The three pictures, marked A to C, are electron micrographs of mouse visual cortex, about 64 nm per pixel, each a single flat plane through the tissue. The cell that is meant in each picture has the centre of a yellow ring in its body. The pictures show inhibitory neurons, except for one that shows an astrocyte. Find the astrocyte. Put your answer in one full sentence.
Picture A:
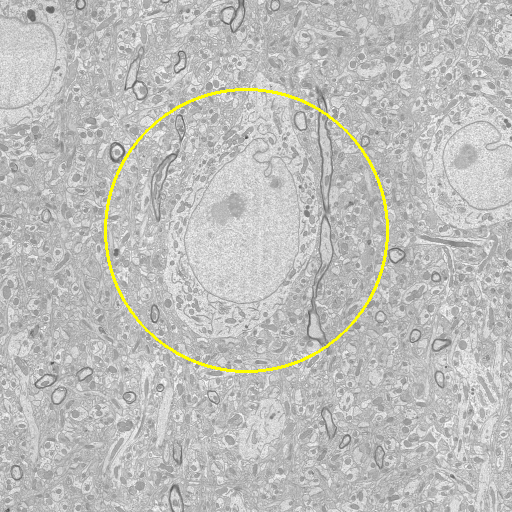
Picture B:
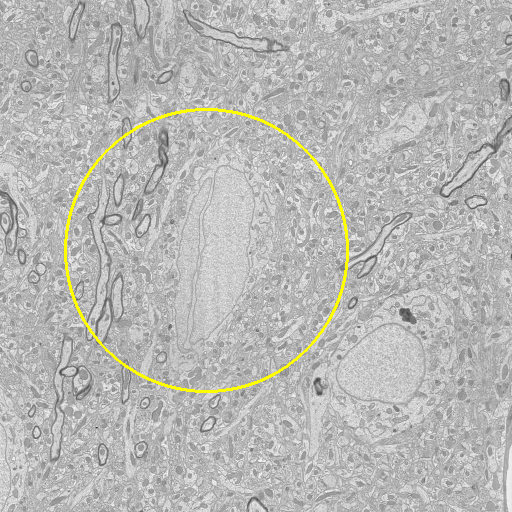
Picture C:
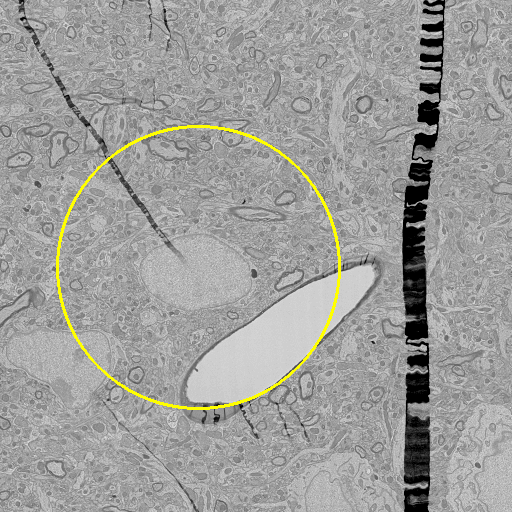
Picture C is the one that shows the astrocyte.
